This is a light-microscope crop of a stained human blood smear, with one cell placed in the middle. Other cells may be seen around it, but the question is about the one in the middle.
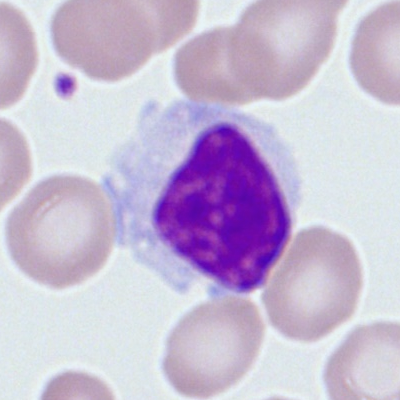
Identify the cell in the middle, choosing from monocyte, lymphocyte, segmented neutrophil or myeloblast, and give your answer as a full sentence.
At the crop's centre, the cell is a lymphocyte.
